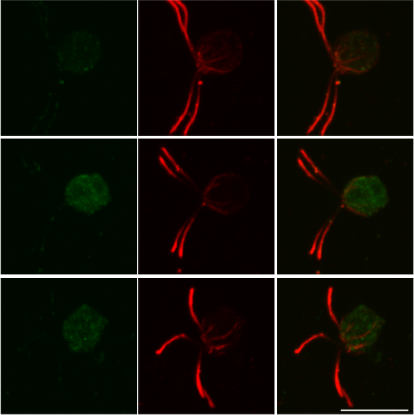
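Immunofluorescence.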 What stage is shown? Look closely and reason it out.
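Dikaryons. Each cell bears four red flagella rather than two. The four flagella arise close together from one end of the cell.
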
